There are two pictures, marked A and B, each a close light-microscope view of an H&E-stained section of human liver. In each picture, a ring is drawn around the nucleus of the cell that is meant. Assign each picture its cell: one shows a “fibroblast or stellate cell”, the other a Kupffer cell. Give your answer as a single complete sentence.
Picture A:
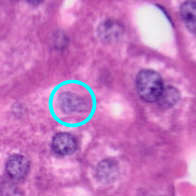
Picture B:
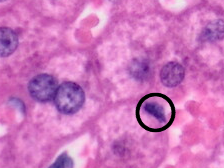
It is picture A that shows a Kupffer cell, and picture B that shows a “fibroblast or stellate cell”.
